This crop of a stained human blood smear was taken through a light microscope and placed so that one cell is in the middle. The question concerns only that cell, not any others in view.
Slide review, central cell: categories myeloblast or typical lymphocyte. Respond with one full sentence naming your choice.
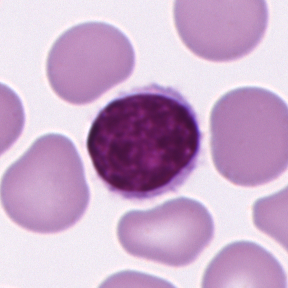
At the crop's centre, the cell is a typical lymphocyte.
